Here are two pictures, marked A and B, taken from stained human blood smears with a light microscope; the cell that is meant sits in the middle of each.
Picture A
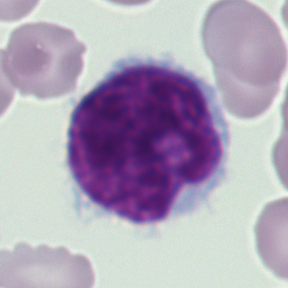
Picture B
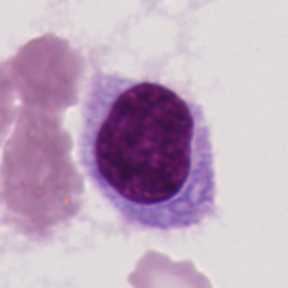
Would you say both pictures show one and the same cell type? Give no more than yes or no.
yes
